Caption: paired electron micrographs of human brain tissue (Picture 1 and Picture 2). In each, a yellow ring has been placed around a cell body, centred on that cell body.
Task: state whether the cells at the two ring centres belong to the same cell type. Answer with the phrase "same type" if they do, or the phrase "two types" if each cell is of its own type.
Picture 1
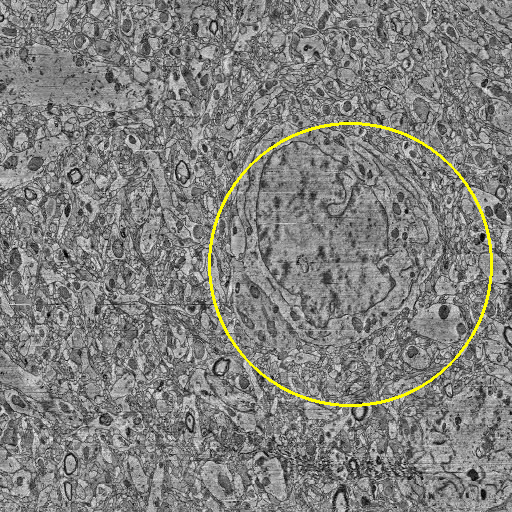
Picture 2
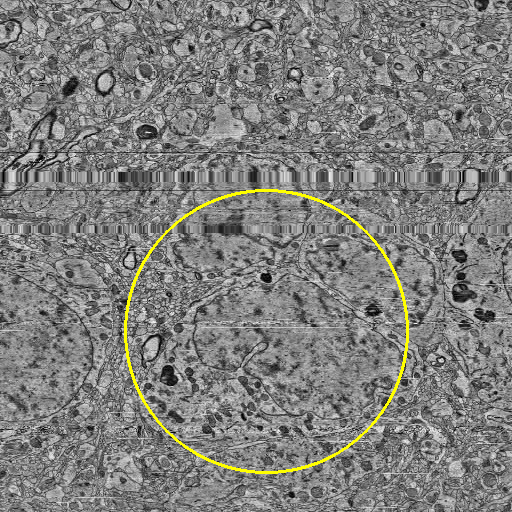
same type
